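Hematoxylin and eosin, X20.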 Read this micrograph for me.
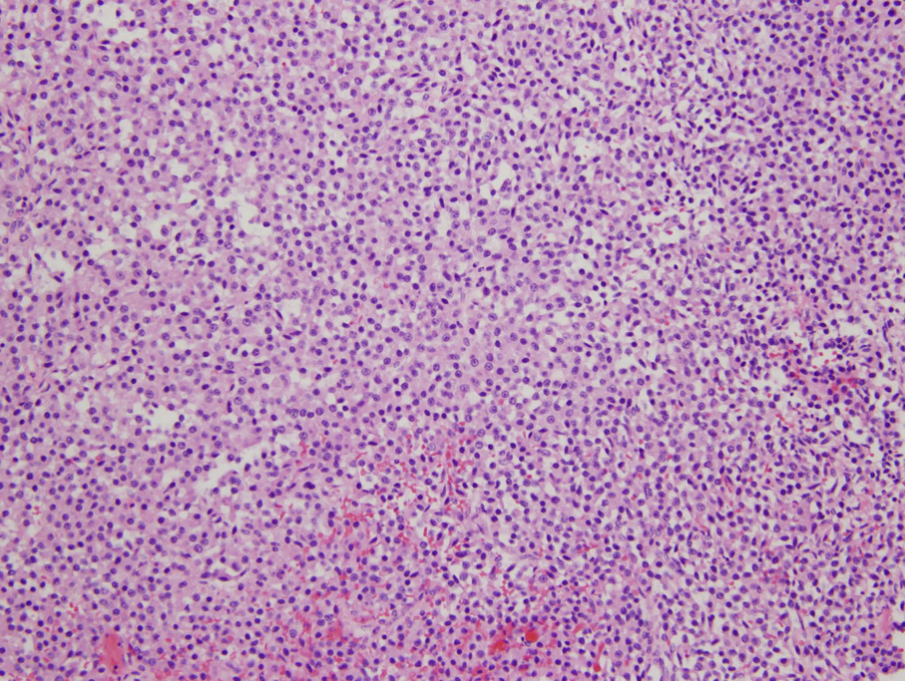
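The cells have round to oval, evenly sized nuclei that are dark purple. There is a moderate rim of pale pinkish-purple, amphophilic cytoplasm around each nucleus, and cell borders are indistinct. The sheets are broken only by small clear spaces and scant, delicate stroma, without the mixed lobular pattern of a normal gland. Toward the bottom, extravasated red blood cells form bright red patches between the tumor cells.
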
